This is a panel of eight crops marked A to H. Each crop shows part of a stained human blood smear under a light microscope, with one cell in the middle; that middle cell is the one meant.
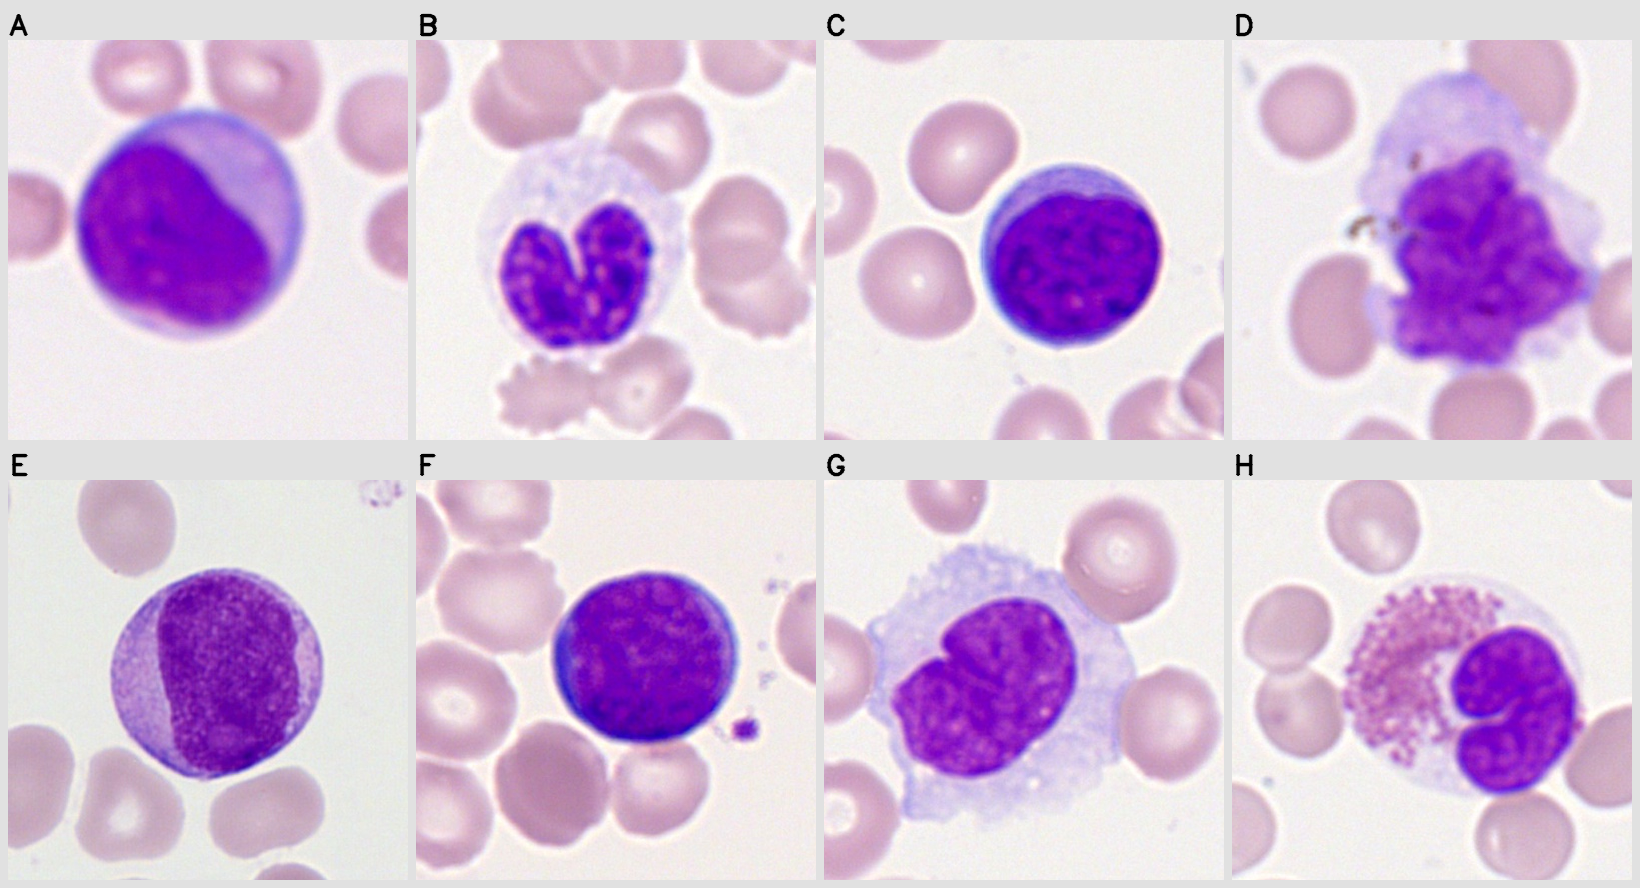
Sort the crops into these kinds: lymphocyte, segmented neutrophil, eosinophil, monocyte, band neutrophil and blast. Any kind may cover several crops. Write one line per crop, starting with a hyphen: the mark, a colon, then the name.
- A: blast
- B: band neutrophil
- C: lymphocyte
- D: monocyte
- E: blast
- F: blast
- G: monocyte
- H: eosinophil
